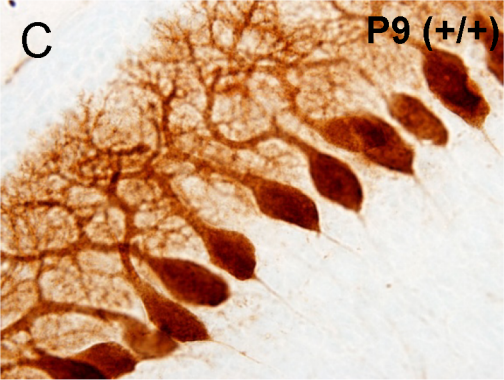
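This is cerebellar cortex showing Purkinje cells stained brown against a pale, unstained background. Large flask- or pear-shaped cell bodies sit side by side in a single, evenly spaced row running diagonally across the field. From the upper side of each cell body a thick primary dendrite rises and branches repeatedly into a dense, lattice-like tree that fills the layer above. Fine thin processes leave the opposite pole of several cells toward the pale lower region. The cytoplasm of the cell bodies is stained intensely and evenly, hiding the nuclei.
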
